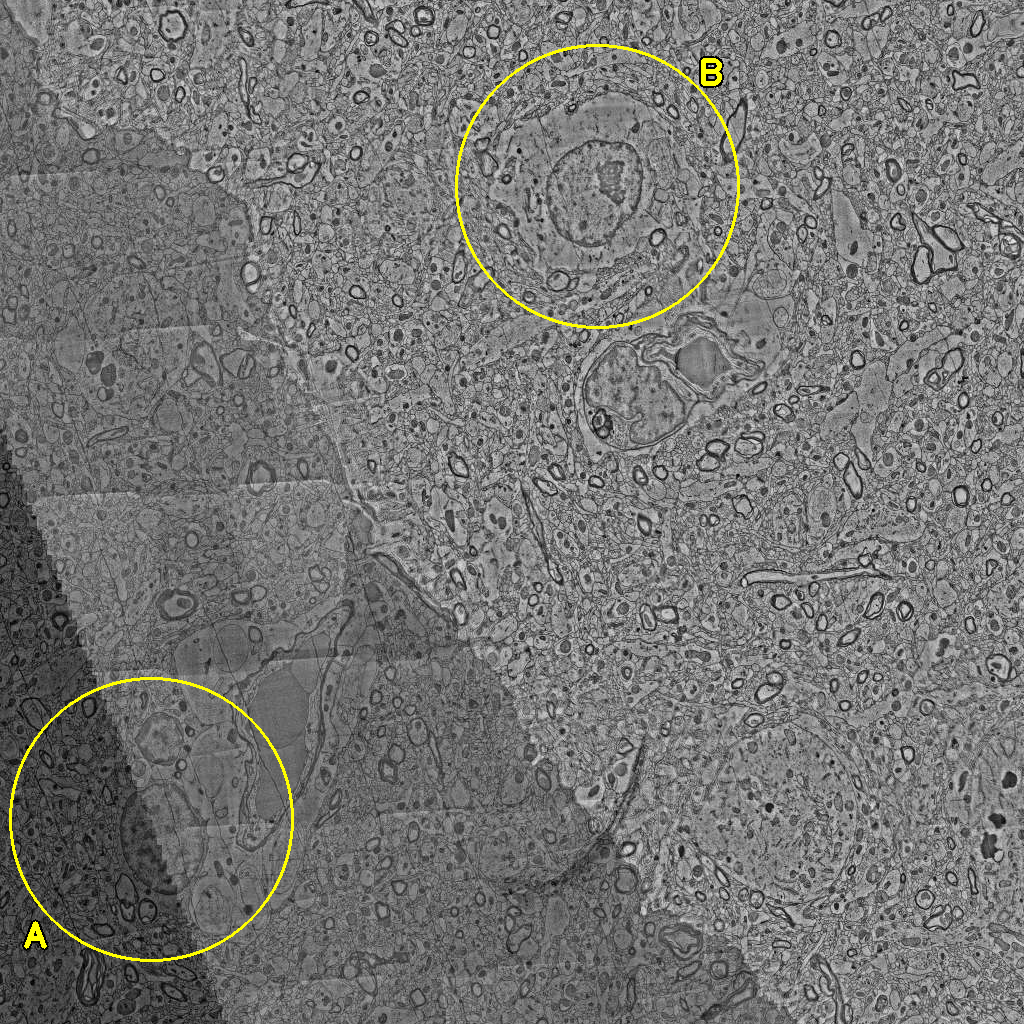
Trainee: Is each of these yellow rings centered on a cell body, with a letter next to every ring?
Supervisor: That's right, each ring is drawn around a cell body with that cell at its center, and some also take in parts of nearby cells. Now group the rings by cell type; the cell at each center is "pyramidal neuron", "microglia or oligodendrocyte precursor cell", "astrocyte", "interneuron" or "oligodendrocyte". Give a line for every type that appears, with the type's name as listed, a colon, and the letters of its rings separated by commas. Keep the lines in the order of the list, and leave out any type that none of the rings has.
astrocyte: B
oligodendrocyte: A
